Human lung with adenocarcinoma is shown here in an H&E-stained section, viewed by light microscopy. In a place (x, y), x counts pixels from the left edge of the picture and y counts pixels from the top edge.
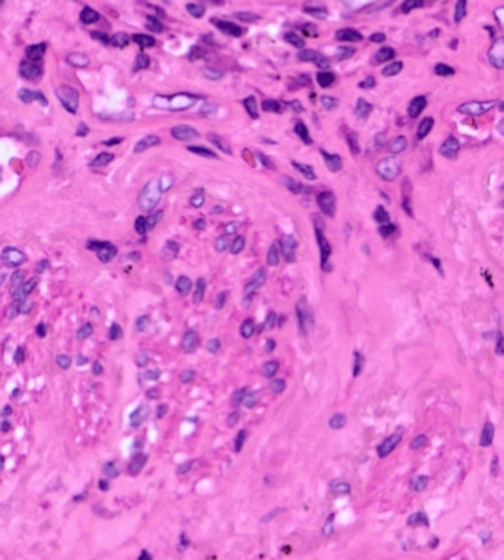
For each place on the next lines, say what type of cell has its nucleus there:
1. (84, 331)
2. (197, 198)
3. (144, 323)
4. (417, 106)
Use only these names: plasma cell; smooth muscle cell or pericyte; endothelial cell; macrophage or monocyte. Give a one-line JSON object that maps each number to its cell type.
{"1": "smooth muscle cell or pericyte", "2": "smooth muscle cell or pericyte", "3": "smooth muscle cell or pericyte", "4": "plasma cell"}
